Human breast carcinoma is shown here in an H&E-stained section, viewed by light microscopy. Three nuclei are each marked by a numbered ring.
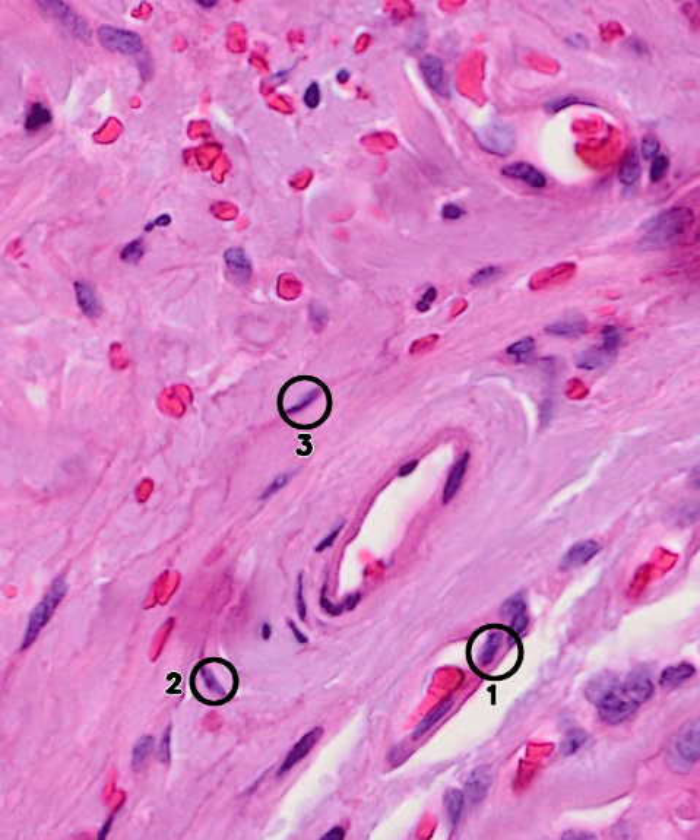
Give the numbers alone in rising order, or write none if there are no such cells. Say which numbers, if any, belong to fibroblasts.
2, 3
